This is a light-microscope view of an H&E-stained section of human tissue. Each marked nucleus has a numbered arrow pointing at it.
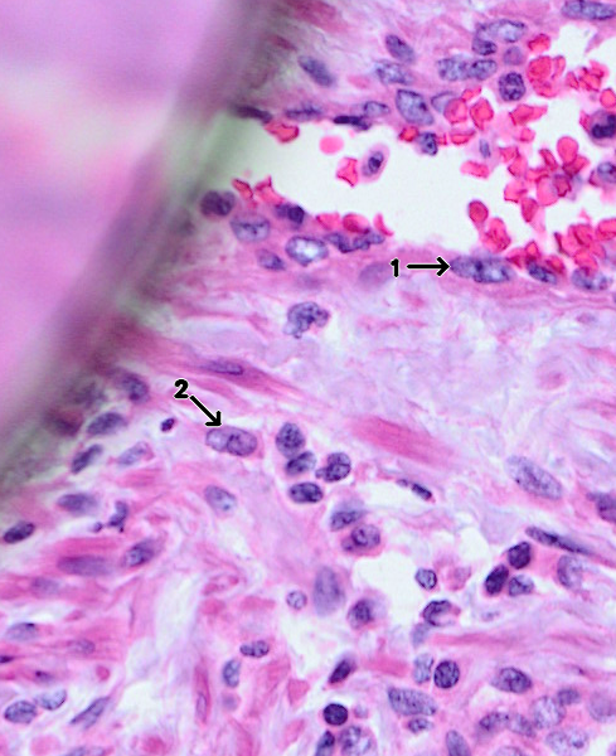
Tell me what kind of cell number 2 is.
macrophage or monocyte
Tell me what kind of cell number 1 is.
endothelial cell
